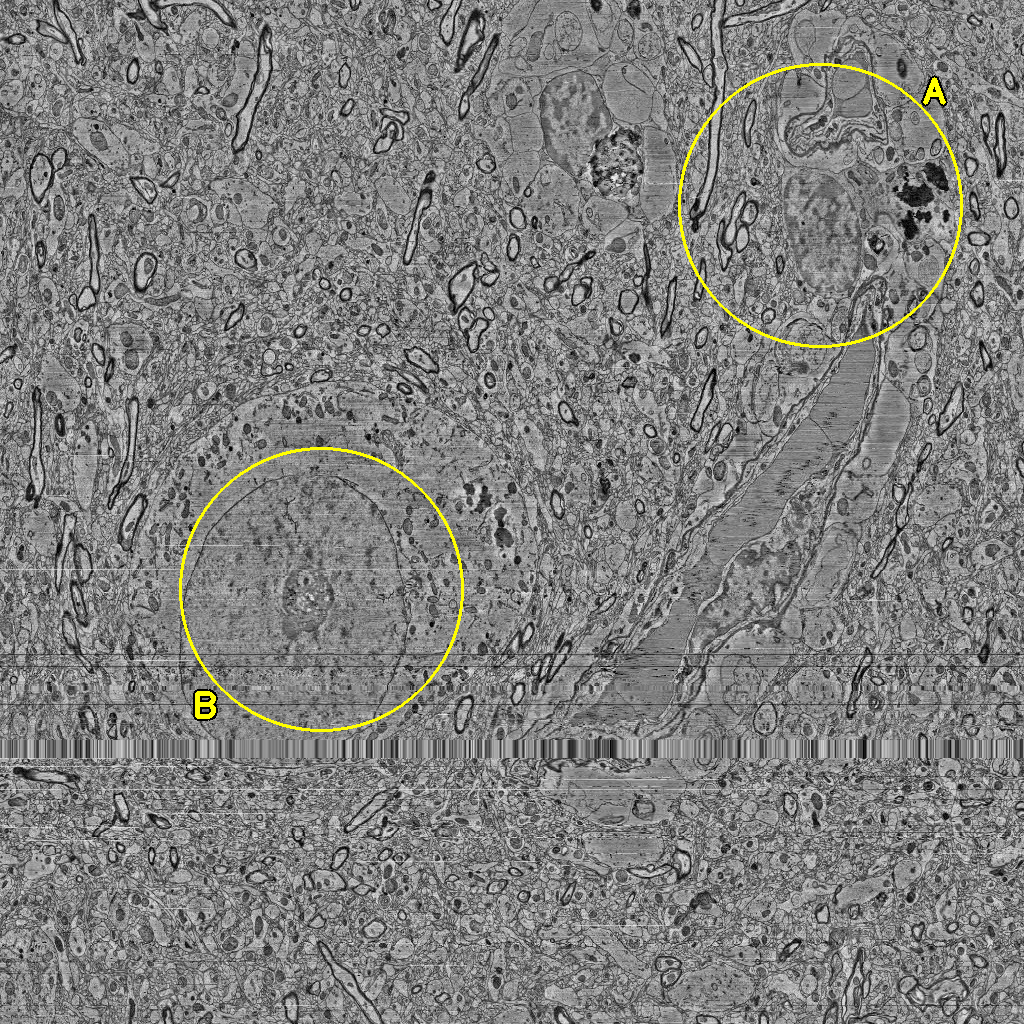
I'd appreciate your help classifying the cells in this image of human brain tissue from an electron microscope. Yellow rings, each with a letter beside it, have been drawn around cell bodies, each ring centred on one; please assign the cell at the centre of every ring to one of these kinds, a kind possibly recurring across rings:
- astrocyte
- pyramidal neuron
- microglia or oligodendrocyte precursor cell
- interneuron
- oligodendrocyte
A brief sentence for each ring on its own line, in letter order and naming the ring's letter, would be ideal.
In ring A, the central cell is an oligodendrocyte.
In ring B, the central cell is a pyramidal neuron.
